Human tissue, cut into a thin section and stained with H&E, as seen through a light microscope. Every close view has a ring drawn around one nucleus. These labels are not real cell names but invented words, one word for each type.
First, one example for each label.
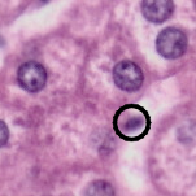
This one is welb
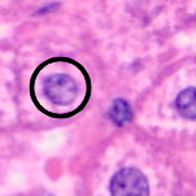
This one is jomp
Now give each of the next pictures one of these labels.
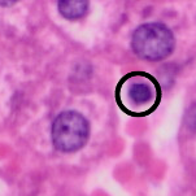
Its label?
welb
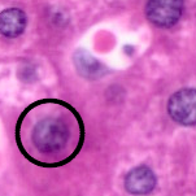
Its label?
jomp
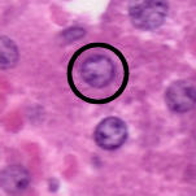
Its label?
jomp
